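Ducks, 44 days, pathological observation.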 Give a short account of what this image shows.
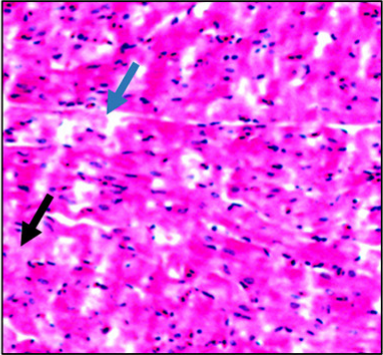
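Heart muscle tissue with pink-stained cardiomyocytes and elongated dark blue nuclei. Numerous irregular clear, white spaces lie within and between the muscle fibres, and the cytoplasm of many fibres appears mottled and granular.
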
